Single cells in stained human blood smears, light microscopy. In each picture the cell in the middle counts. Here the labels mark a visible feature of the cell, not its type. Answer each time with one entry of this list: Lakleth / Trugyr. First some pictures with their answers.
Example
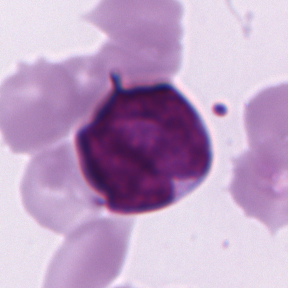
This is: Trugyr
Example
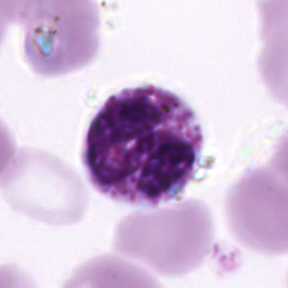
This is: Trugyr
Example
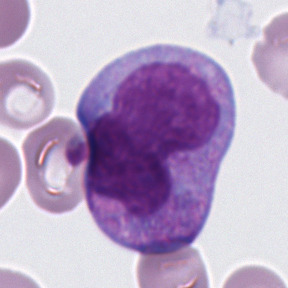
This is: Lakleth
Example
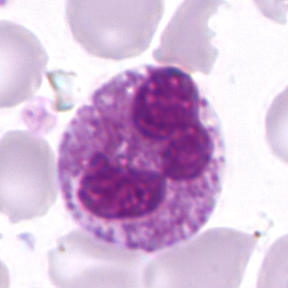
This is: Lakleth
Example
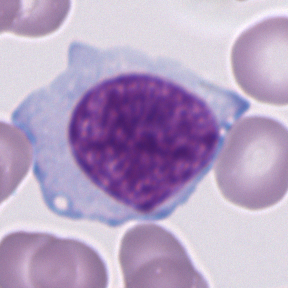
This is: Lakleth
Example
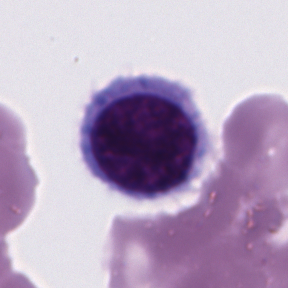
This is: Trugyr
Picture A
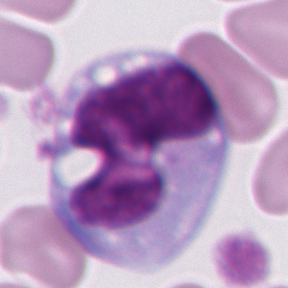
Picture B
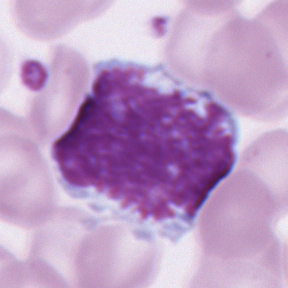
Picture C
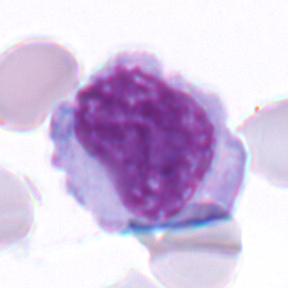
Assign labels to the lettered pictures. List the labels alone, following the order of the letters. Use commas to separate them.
Lakleth, Trugyr, Trugyr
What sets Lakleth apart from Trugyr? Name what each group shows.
Seen in Lakleth: abundant cytoplasm; seen in Trugyr: scant cytoplasm.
